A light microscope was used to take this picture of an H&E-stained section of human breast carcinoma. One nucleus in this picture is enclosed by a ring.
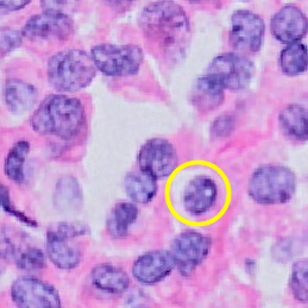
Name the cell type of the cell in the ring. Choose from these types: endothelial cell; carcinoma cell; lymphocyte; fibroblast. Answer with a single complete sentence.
Labelled by cell type, the cell in the ring is a carcinoma cell.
